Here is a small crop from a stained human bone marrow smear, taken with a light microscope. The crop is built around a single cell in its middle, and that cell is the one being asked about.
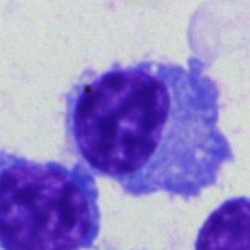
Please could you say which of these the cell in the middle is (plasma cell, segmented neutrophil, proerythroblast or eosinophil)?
plasma cell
